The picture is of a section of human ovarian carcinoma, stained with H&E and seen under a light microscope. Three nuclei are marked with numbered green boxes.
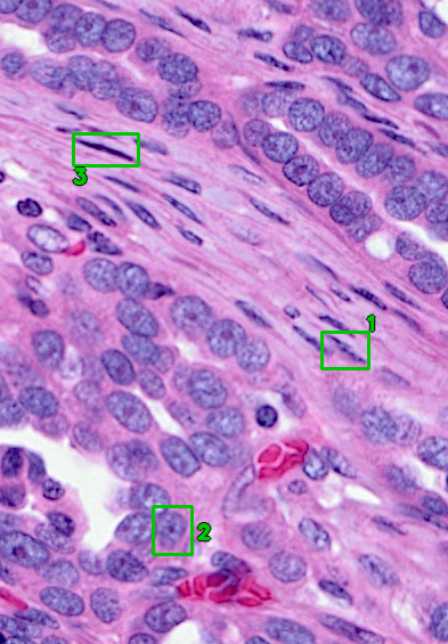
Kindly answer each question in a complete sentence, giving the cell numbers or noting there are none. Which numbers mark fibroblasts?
The cells tagged with numbers 1 and 3 are fibroblasts.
